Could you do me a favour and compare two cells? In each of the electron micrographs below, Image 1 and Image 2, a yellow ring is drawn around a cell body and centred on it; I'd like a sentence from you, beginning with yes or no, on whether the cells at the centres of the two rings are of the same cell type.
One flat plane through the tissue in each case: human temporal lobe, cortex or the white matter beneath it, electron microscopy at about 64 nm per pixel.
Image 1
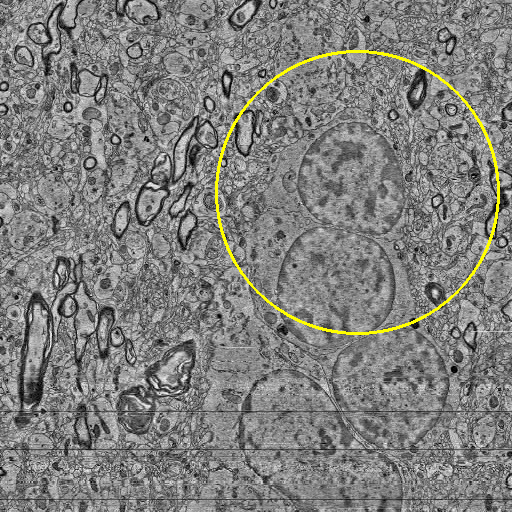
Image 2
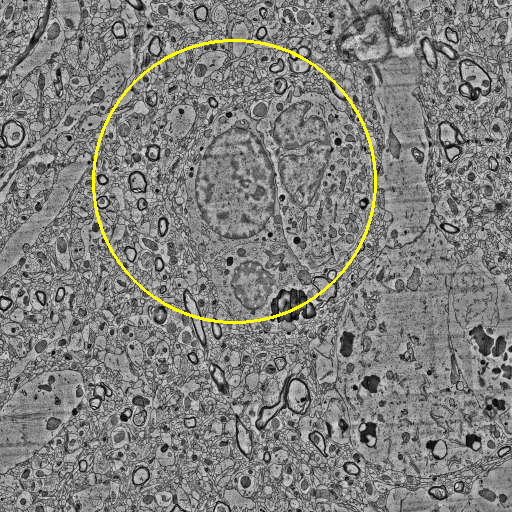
Yes, the two cells are of the same cell type.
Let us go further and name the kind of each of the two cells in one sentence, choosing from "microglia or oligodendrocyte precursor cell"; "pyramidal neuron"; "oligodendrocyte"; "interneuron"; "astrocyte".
In each of the two pictures, the ringed cell is an oligodendrocyte.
